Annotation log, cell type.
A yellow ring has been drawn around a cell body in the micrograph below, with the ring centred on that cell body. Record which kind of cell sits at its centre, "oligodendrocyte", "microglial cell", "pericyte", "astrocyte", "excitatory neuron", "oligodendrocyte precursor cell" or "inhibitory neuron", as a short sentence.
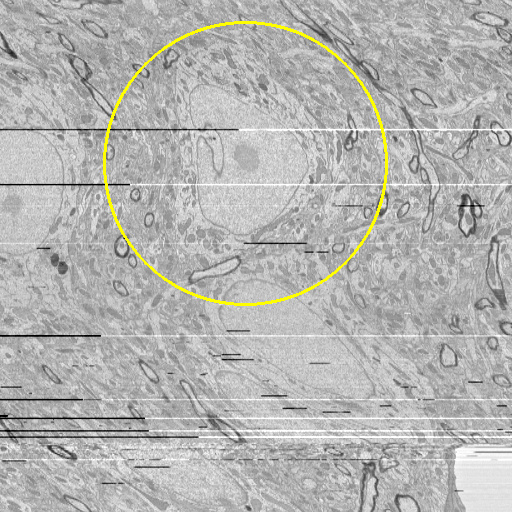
The cell at the centre of this ring is an inhibitory neuron.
